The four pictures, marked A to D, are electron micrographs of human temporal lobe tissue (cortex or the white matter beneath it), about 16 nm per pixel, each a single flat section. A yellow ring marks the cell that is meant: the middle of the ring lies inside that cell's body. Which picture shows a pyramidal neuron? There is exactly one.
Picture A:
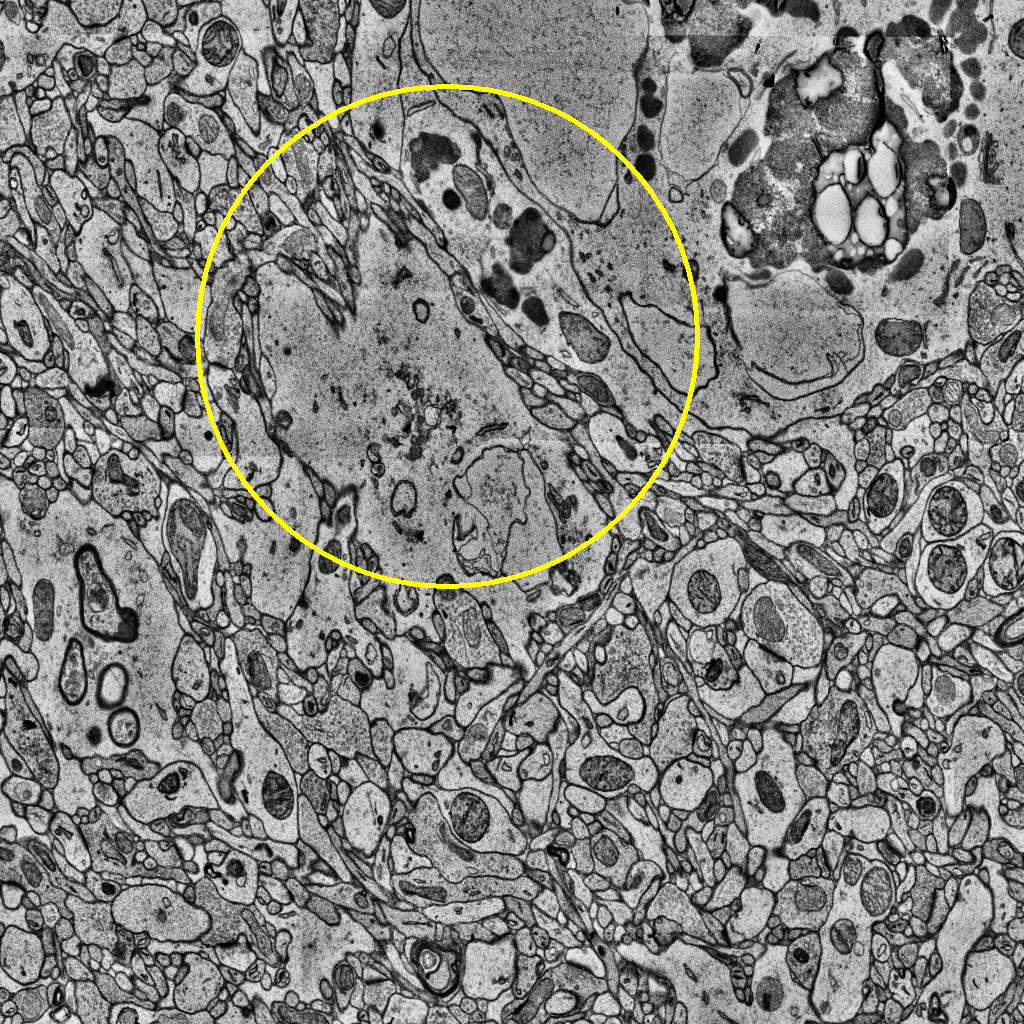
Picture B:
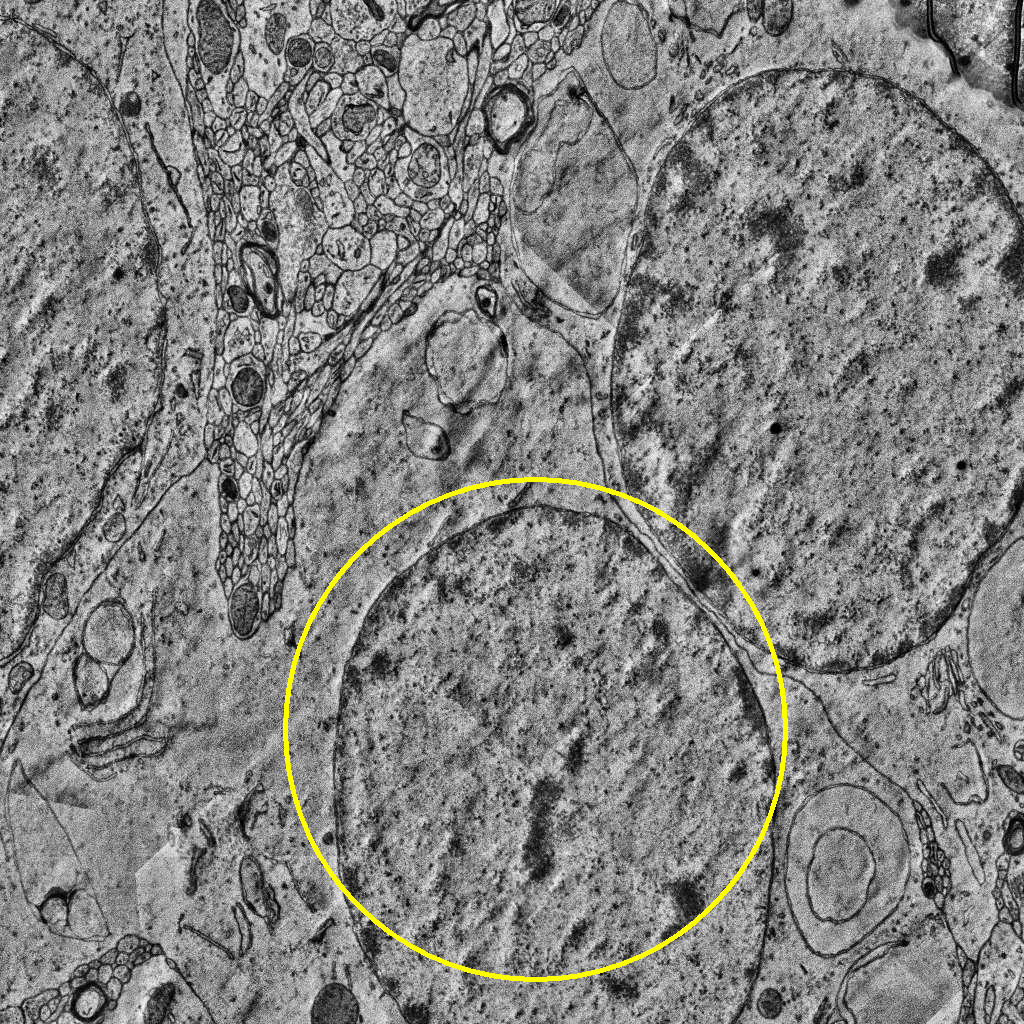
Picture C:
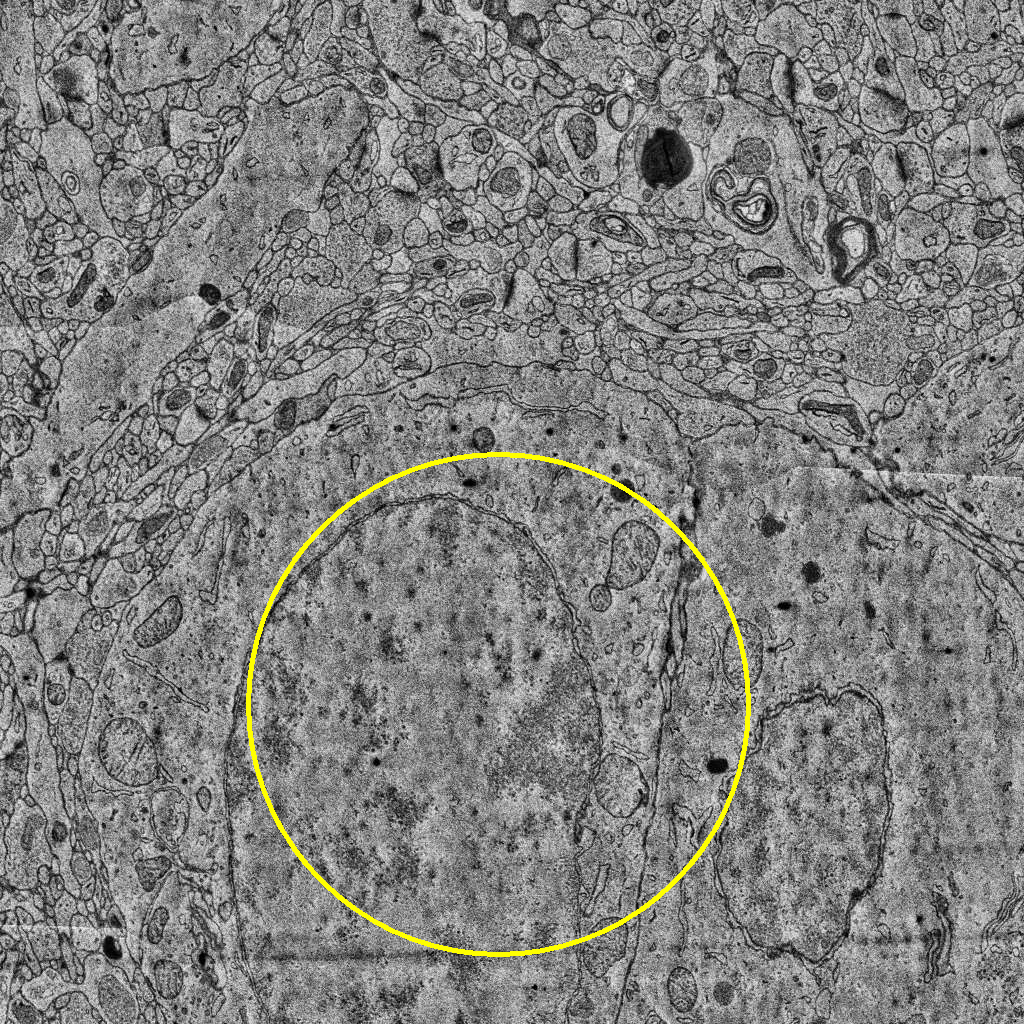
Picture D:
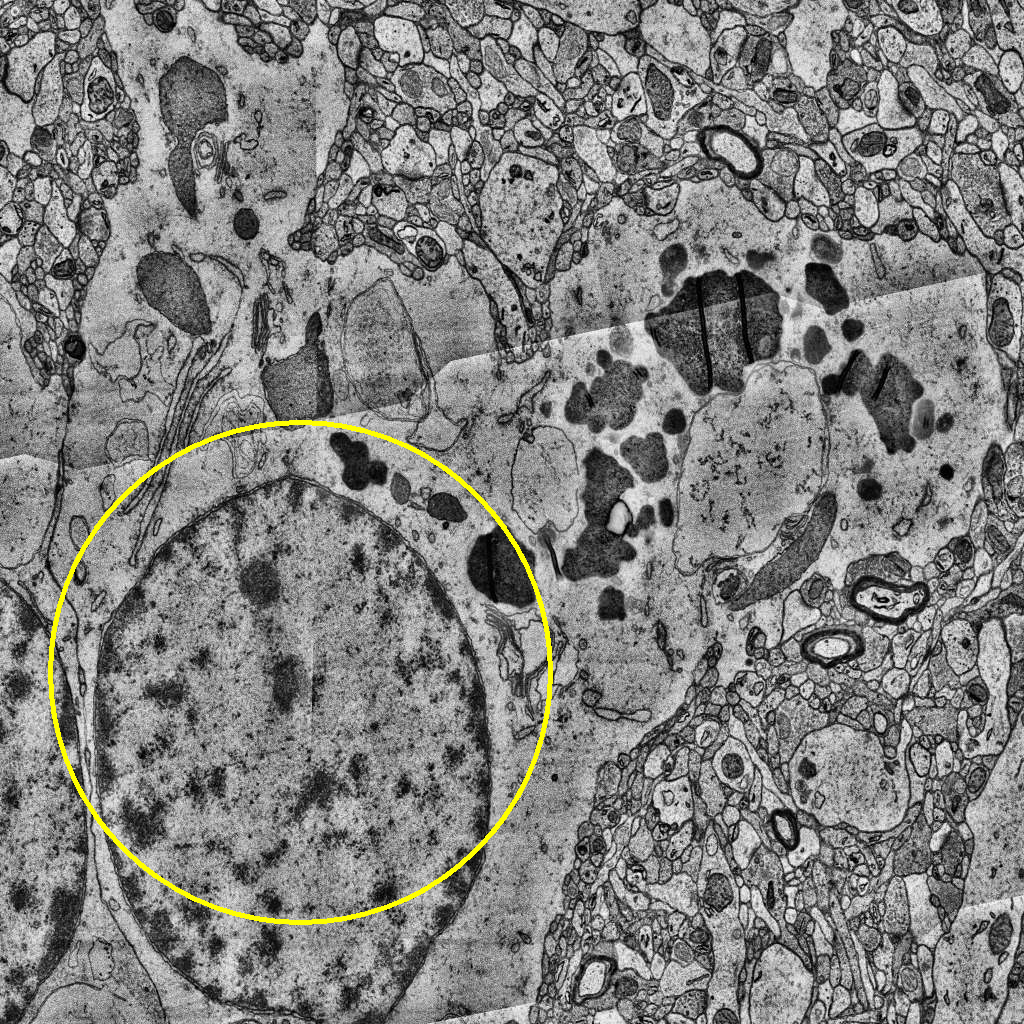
The cell in picture C is the pyramidal neuron.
